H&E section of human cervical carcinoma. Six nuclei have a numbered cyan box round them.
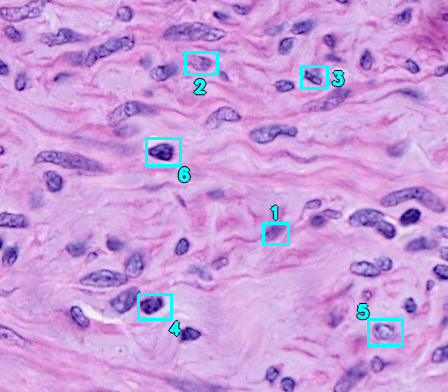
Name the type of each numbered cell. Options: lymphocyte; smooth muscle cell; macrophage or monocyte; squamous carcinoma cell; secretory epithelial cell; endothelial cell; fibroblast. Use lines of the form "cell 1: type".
cell 1: smooth muscle cell
cell 2: smooth muscle cell
cell 3: smooth muscle cell
cell 4: lymphocyte
cell 5: smooth muscle cell
cell 6: lymphocyte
